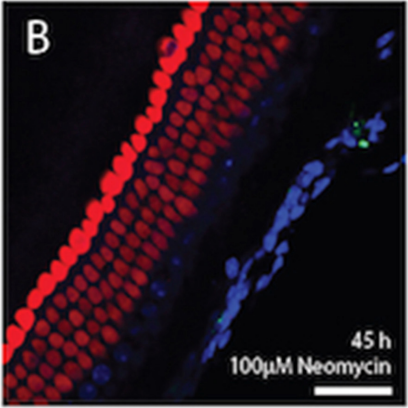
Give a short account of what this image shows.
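This is the organ of Corti seen from above, with red-filled hair cells lined up in four neat parallel rows: one row set apart and three closely packed rows beside it. The cells are rounded and evenly spaced, forming an unbroken mosaic without gaps. Off to one side lie elongated blue nuclei of other cells, and only a very few green nuclei are seen, away from the rows of hair cells.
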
